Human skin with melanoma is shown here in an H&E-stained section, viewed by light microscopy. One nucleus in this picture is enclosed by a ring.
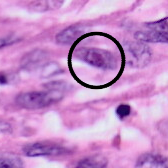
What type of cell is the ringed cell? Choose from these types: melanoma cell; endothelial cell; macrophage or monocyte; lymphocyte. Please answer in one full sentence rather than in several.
Within the stained tissue, the ringed cell is a melanoma cell.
